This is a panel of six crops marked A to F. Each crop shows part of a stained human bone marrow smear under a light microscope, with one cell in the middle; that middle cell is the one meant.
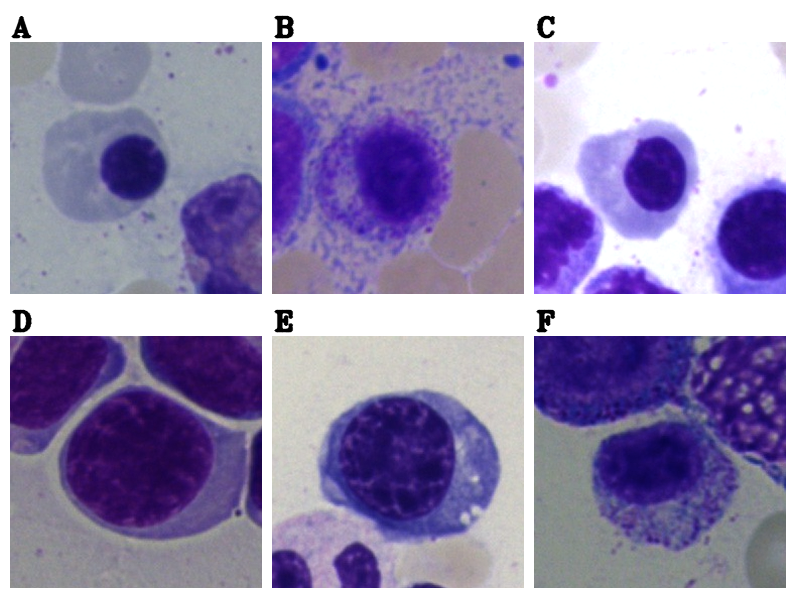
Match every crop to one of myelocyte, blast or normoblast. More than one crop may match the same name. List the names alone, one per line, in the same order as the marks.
normoblast
myelocyte
normoblast
blast
normoblast
myelocyte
